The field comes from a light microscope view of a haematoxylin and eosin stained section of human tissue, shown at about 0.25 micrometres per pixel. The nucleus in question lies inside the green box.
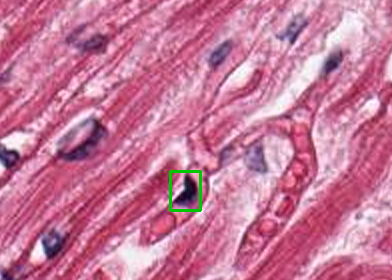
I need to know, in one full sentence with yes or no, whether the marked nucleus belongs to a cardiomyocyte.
No, the marked nucleus is part of a supporting cell and does not belong to a cardiomyocyte.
